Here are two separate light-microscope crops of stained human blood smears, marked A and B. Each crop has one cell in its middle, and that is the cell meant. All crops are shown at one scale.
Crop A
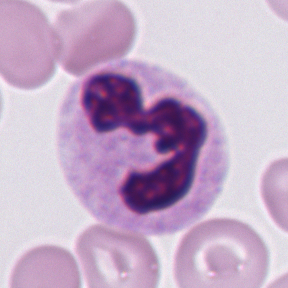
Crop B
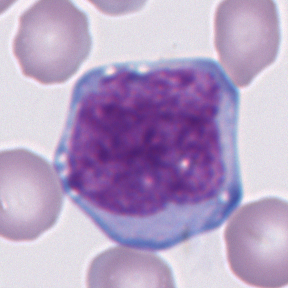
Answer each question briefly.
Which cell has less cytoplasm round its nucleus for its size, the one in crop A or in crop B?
B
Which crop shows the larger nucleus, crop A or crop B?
B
